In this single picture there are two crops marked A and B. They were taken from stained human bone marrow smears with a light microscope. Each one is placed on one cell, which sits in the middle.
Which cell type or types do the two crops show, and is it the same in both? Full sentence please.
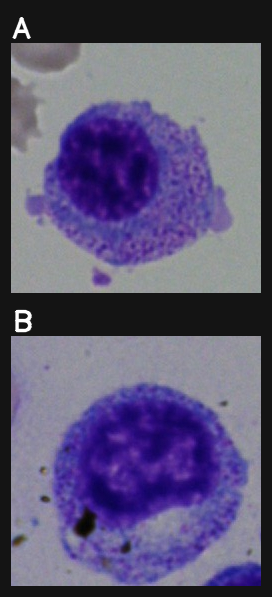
Yes, both of the crops in this pair show myelocytes, one cell in each crop.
